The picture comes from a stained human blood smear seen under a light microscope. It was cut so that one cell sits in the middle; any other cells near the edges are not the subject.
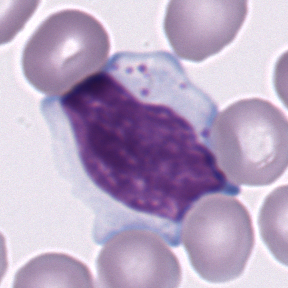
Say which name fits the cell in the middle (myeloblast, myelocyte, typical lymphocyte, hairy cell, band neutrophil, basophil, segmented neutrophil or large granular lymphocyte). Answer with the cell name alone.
large granular lymphocyte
